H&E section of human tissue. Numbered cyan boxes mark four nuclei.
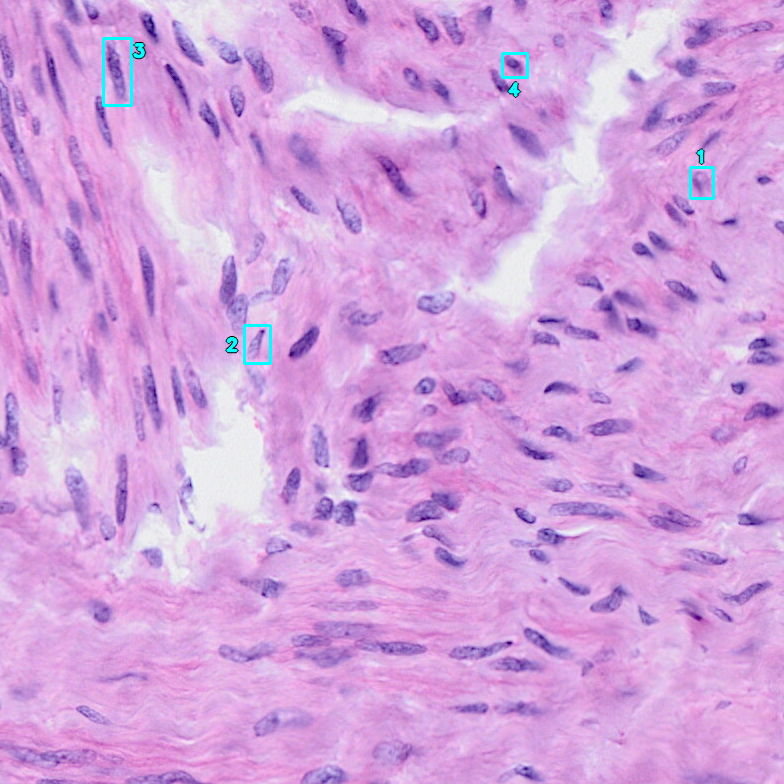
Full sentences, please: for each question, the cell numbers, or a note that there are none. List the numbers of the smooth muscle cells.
The cells numbered 1 and 4 fall into the category of smooth muscle cells.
